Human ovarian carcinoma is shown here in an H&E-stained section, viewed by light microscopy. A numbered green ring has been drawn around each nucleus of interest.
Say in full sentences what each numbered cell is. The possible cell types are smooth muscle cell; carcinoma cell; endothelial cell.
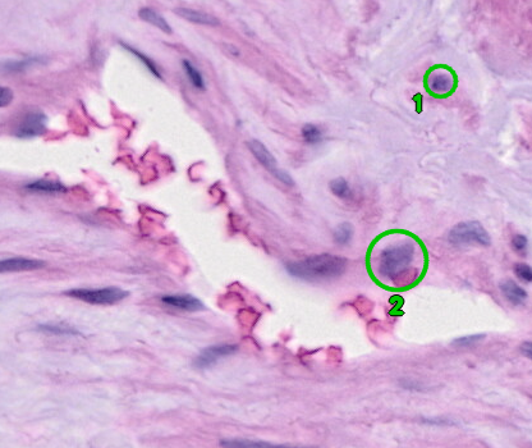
Cell 1 is a smooth muscle cell. Cell 2 is an endothelial cell.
